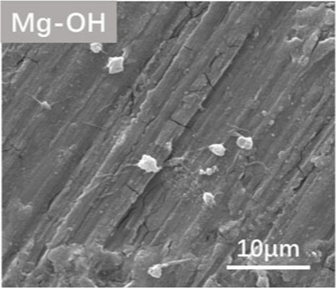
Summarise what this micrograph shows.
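Platelets lie scattered singly on a flat material surface marked by parallel grooves and scratch lines running diagonally. Each platelet is a small body a few micrometres across, brighter than the background. Fine cracks run along some of the grooves of the underlying surface.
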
